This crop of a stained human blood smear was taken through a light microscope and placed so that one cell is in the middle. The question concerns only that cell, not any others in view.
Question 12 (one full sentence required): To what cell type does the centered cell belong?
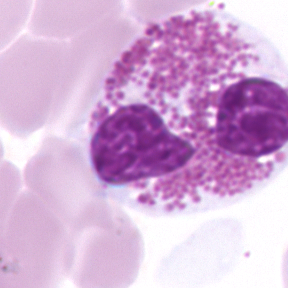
Among the cells in view, the one in the middle is an eosinophil.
